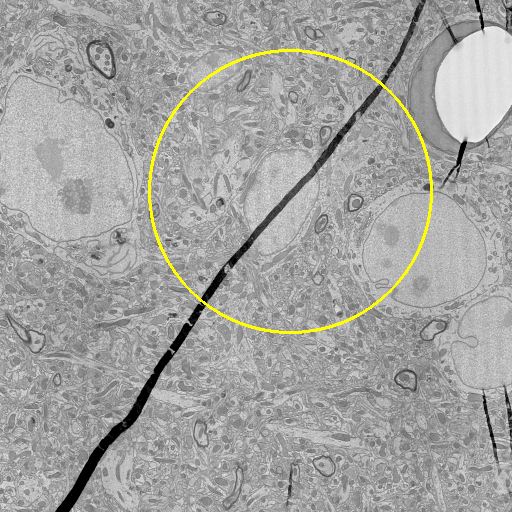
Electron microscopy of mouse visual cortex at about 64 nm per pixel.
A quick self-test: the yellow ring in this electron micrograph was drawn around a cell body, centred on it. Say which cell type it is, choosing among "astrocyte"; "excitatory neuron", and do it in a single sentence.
The yellow-ringed cell is an astrocyte.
